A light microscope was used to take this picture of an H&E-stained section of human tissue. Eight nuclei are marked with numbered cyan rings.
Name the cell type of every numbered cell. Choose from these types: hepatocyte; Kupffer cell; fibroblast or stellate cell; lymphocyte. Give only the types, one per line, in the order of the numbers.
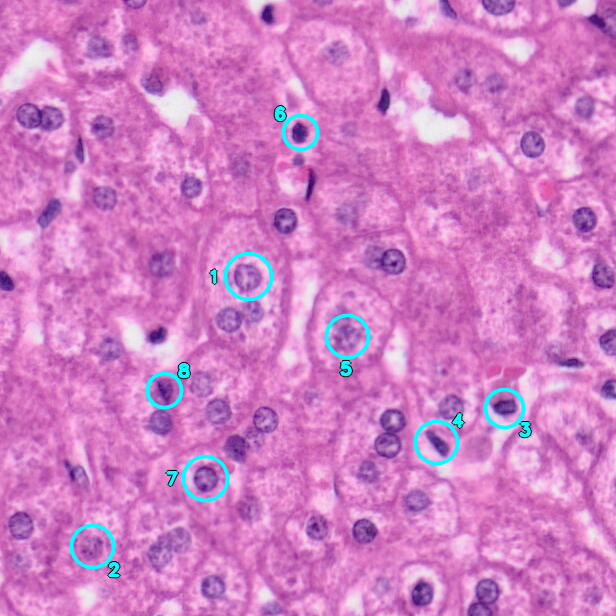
hepatocyte
hepatocyte
Kupffer cell
lymphocyte
hepatocyte
lymphocyte
hepatocyte
fibroblast or stellate cell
